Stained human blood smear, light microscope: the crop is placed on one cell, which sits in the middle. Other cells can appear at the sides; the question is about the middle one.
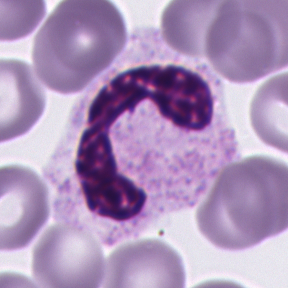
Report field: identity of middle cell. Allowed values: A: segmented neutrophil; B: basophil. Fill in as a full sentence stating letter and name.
Option A is the keyed answer: the cell in the middle is a segmented neutrophil.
